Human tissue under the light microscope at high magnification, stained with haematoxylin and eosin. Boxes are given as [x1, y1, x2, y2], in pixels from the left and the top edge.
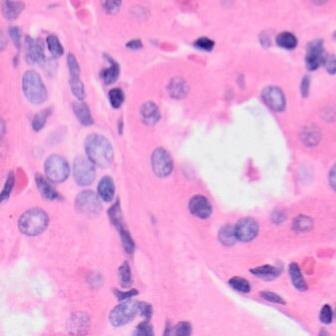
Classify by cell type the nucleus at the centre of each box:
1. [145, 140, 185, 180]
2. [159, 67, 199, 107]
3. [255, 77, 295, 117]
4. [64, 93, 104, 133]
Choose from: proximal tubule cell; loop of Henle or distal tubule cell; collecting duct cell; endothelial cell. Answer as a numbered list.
1. loop of Henle or distal tubule cell
2. loop of Henle or distal tubule cell
3. loop of Henle or distal tubule cell
4. collecting duct cell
